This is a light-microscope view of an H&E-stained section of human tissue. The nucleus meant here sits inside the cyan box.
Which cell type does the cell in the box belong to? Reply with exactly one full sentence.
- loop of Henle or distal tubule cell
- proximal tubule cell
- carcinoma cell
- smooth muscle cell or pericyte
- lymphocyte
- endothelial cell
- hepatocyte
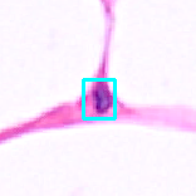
Recorded by type, the cell in the box is an endothelial cell.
